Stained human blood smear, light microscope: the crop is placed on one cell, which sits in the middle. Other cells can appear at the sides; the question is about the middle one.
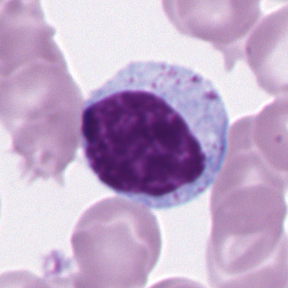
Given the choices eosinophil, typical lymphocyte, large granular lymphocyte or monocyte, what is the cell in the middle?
large granular lymphocyte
